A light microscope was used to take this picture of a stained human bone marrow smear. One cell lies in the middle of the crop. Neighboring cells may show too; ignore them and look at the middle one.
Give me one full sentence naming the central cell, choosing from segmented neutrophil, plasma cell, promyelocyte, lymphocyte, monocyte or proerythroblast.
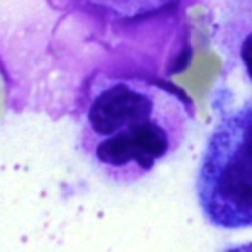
The cell nearest the centre of this crop is a segmented neutrophil.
